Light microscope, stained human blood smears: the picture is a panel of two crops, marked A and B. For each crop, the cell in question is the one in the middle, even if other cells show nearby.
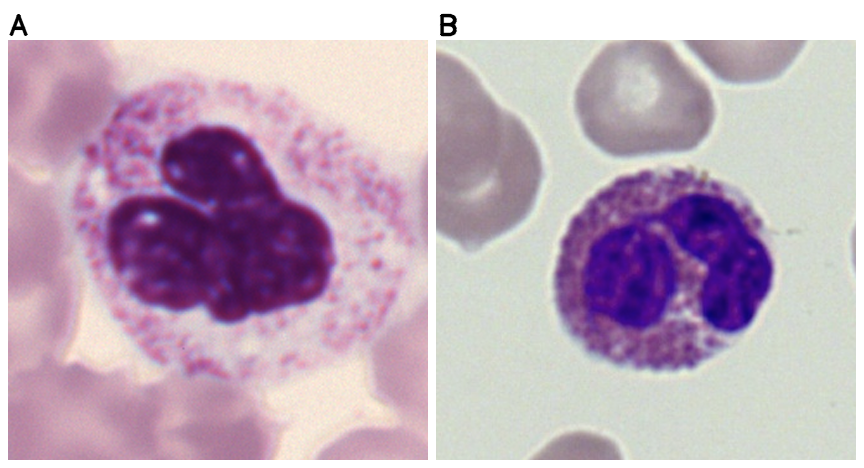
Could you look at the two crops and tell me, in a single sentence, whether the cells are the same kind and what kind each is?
No, a segmented neutrophil is what occupies crop A, and an eosinophil is what occupies crop B.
